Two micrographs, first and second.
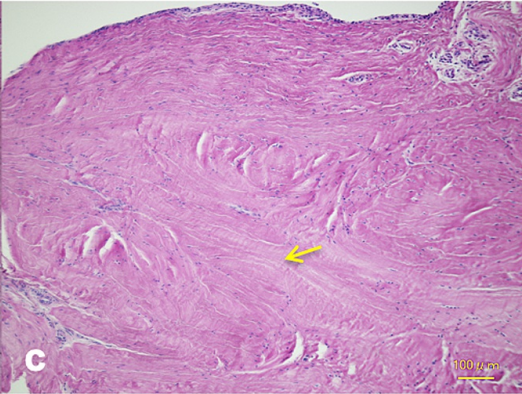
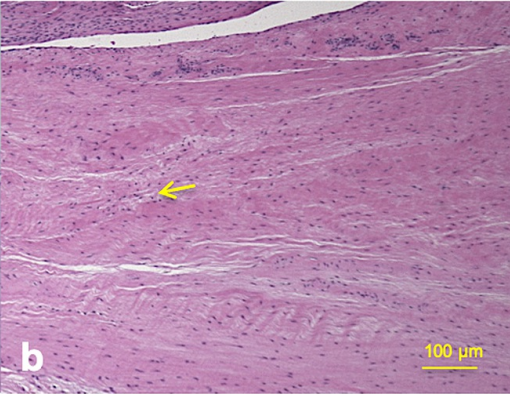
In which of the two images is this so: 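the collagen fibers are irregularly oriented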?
The first image.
